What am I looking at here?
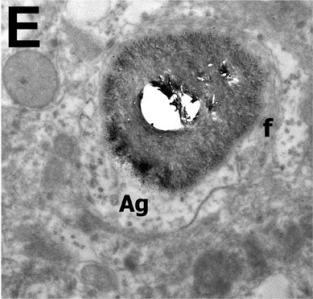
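A calcifying body lies in the neuropil, a rounded mass of dark, finely needle-textured material with a white cracked space at its centre and a darker granular rim. It is enveloped by a thin pale astrocytic process holding fine filaments and small vesicles, and round mitochondria-like profiles sit in the surrounding neuropil.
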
